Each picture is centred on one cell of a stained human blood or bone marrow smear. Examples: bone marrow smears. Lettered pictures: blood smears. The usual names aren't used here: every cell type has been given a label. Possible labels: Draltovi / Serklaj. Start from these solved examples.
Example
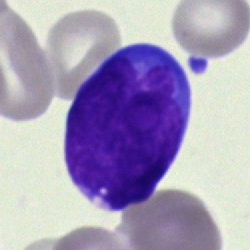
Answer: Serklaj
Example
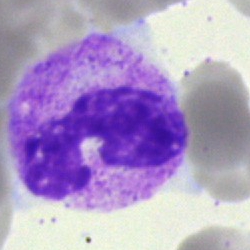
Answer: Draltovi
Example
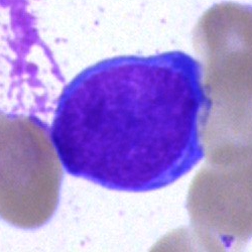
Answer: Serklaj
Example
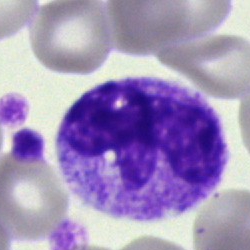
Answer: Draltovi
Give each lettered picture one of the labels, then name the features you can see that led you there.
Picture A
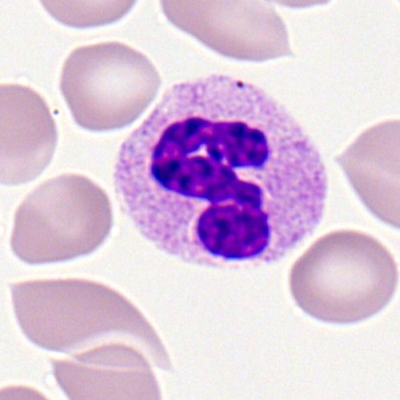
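Answer: Draltovi. The cytoplasm is plentiful and pale pinkish-lilac.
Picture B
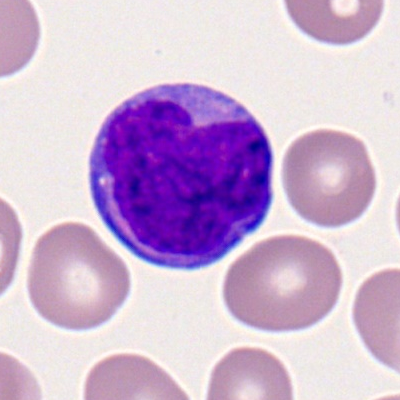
Answer: Serklaj. The nucleus fills most of the cell.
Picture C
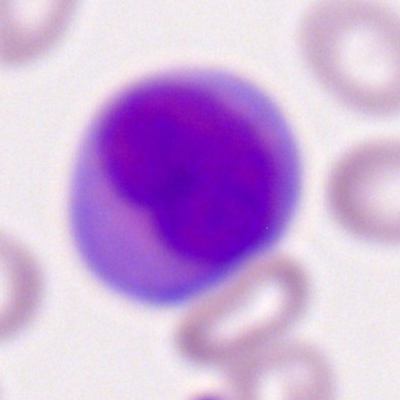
Answer: Serklaj. The nucleus fills most of the cell and sits toward the upper right.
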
